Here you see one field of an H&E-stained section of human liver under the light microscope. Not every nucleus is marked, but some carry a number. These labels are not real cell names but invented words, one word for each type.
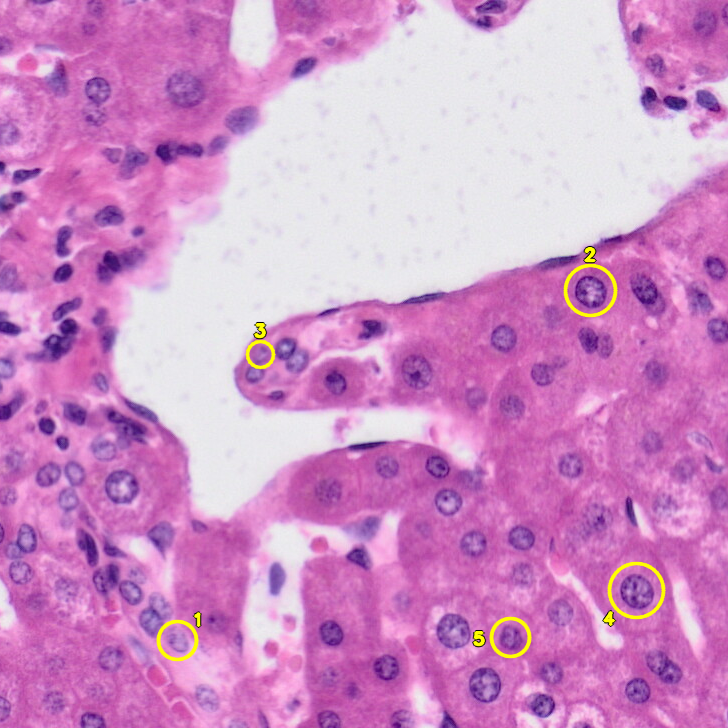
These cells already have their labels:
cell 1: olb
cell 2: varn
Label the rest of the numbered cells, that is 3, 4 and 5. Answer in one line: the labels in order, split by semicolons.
olb; varn; varn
